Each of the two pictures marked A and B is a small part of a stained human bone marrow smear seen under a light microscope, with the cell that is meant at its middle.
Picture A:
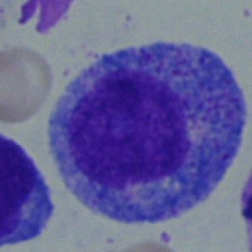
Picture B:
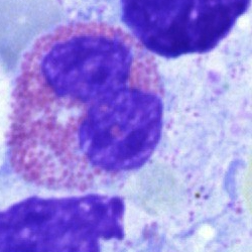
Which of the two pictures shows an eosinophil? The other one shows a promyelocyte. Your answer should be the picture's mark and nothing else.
B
